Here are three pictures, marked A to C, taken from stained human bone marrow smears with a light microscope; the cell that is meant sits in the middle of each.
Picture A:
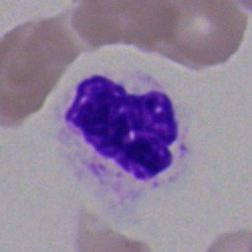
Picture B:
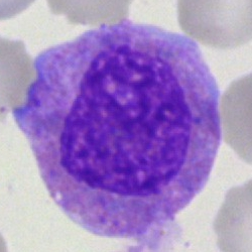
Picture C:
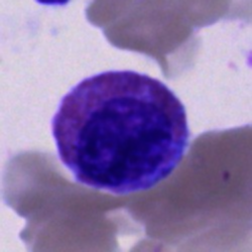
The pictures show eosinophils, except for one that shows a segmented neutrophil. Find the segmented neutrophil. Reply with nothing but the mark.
A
